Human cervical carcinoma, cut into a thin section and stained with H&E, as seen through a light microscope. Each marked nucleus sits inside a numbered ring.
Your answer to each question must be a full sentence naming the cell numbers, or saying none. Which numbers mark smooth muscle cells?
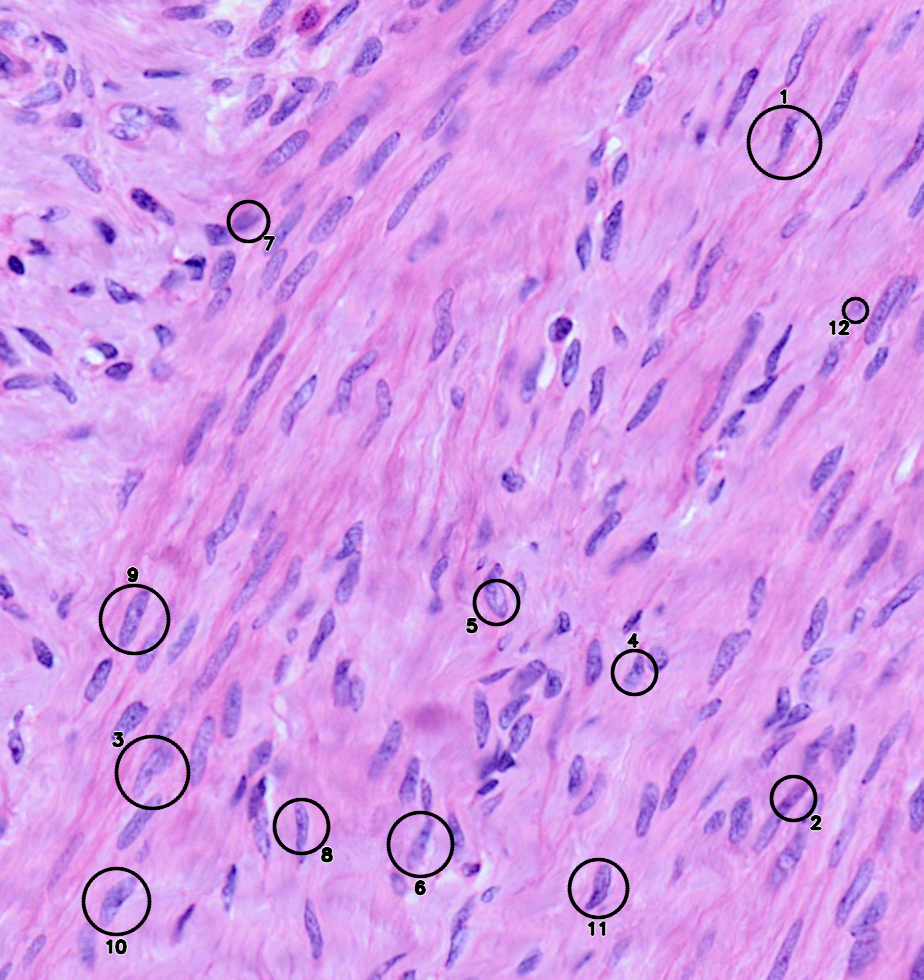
The cells assigned the numbers 1, 2, 3, 5, 7, 9 and 12 are smooth muscle cells.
